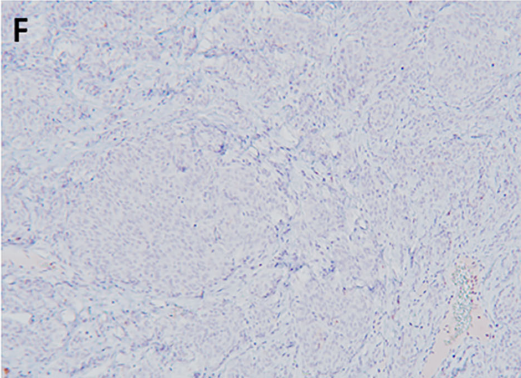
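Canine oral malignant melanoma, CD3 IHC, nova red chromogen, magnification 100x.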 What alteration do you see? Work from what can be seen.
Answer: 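Immune-desert. The tumour tissue shows essentially no red-brown stained cells.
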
